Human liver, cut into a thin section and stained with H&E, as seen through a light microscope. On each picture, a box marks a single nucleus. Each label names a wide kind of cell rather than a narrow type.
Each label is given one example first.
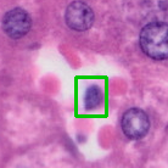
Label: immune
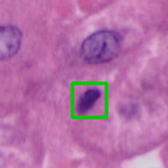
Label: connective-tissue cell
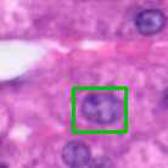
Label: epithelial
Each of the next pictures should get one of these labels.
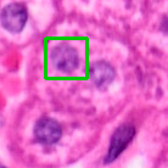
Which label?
epithelial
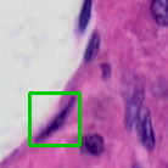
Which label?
connective-tissue cell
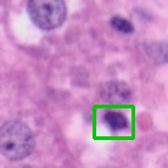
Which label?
immune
